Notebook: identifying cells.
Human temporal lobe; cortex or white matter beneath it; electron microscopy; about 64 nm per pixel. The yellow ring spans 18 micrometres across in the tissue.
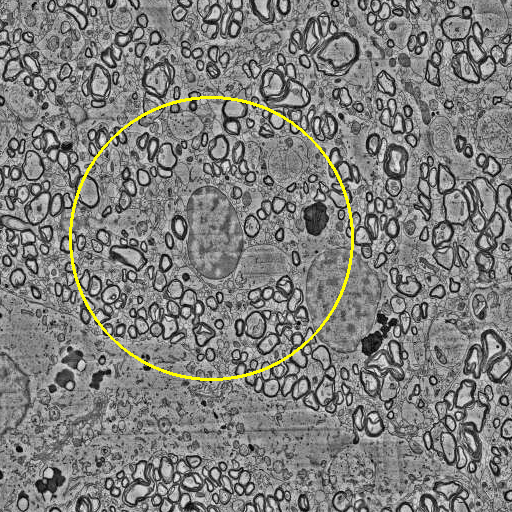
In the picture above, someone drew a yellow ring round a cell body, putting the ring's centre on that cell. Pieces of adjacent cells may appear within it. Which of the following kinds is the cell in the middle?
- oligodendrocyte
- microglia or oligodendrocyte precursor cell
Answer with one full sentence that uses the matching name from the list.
In this picture, the yellow ring is centred on the body of a microglial cell or oligodendrocyte precursor cell.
